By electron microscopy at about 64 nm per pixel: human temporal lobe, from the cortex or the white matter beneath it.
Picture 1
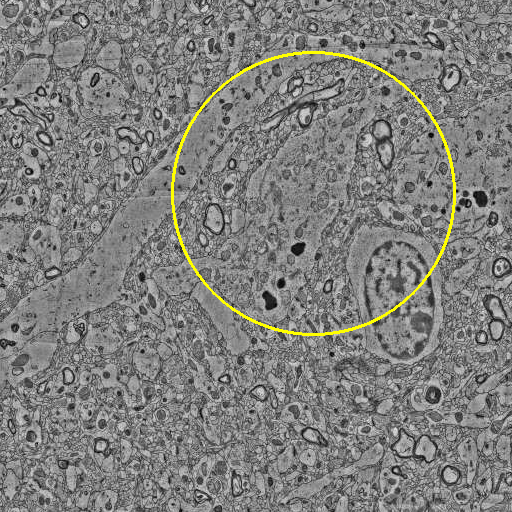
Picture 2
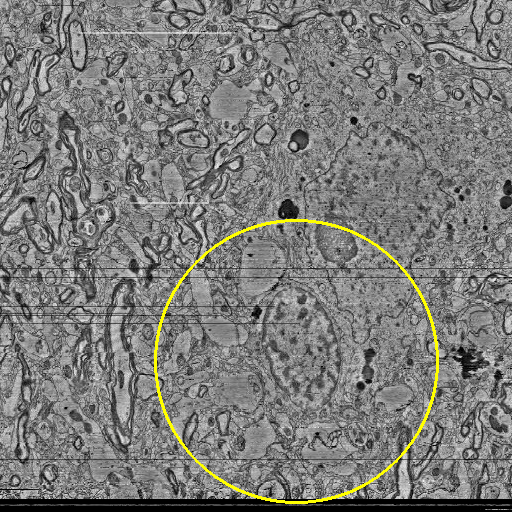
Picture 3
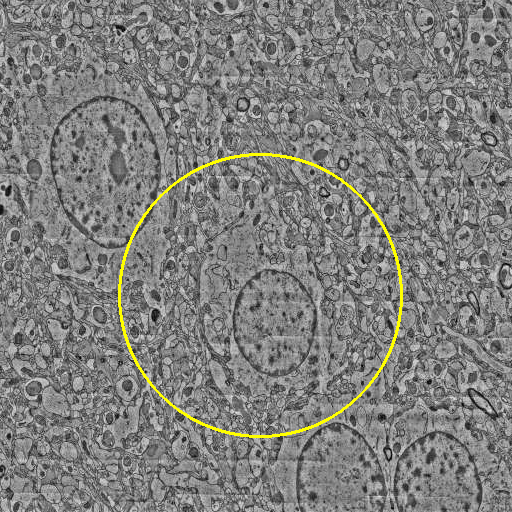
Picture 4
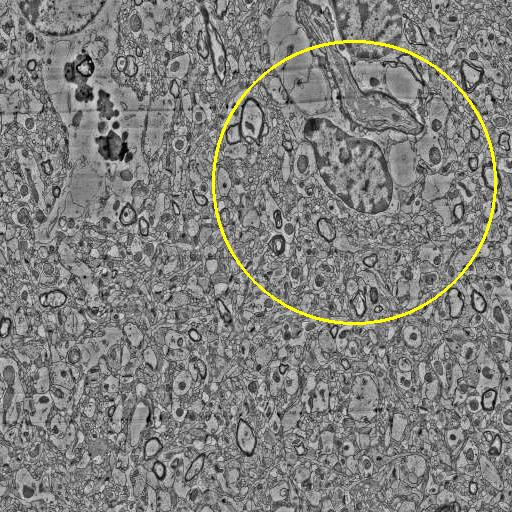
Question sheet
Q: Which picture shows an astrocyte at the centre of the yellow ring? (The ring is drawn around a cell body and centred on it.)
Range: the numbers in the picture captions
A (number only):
3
